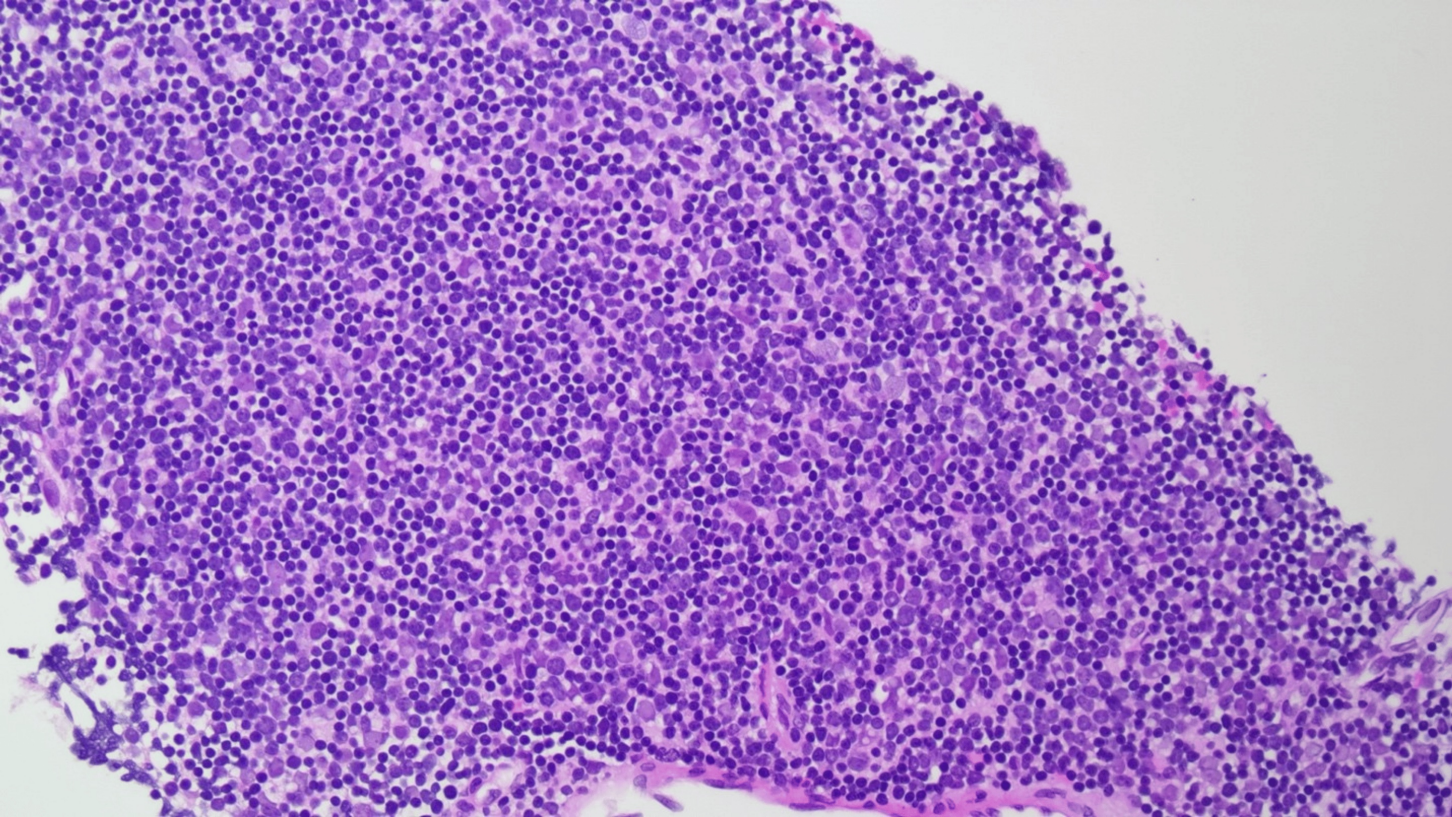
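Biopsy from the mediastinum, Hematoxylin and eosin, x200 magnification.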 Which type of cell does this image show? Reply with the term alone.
thymocytes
